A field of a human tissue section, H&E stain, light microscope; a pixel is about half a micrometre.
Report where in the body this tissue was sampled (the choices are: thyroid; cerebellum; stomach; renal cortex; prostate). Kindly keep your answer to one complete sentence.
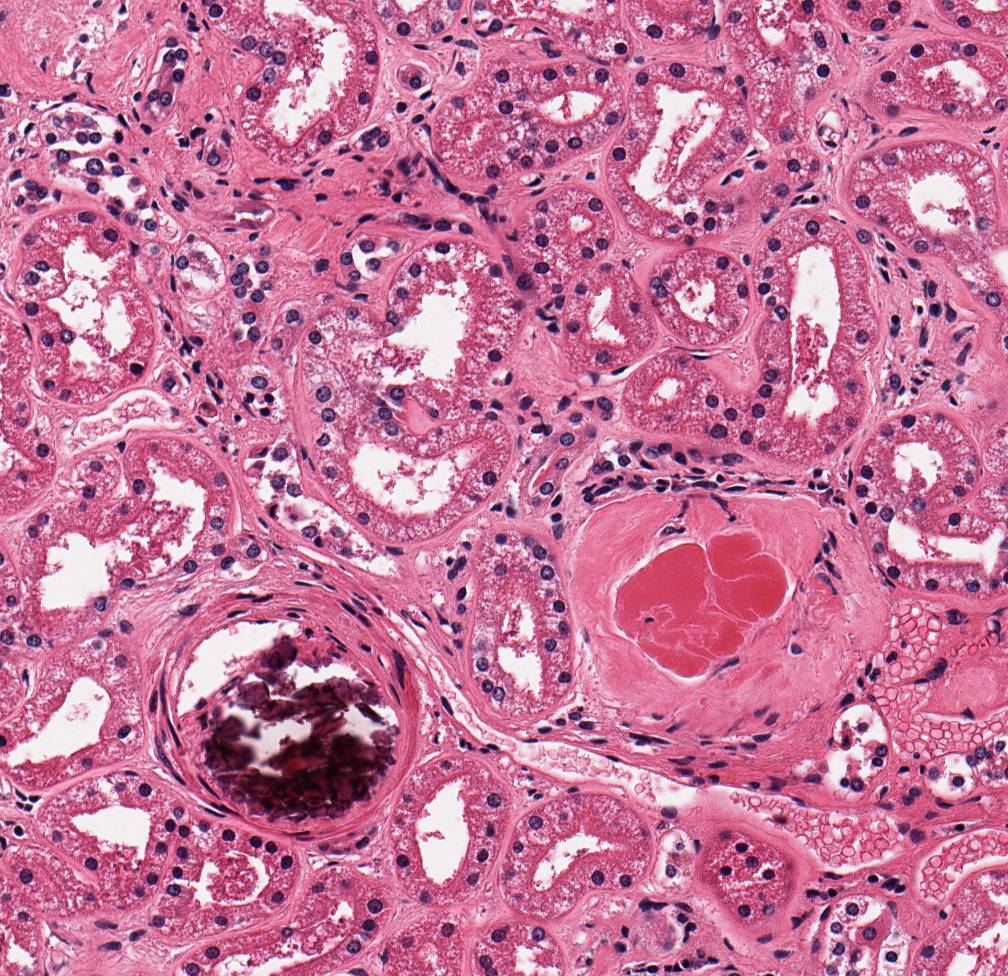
In this section is tissue sampled from the renal cortex.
